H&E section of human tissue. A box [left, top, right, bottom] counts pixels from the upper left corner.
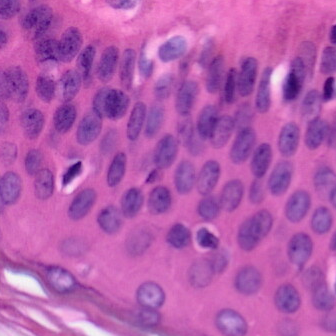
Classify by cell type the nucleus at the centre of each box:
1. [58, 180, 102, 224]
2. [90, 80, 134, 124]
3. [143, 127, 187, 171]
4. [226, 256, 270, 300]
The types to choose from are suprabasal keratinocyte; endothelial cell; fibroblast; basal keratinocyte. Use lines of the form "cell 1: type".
cell 1: suprabasal keratinocyte
cell 2: basal keratinocyte
cell 3: suprabasal keratinocyte
cell 4: suprabasal keratinocyte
